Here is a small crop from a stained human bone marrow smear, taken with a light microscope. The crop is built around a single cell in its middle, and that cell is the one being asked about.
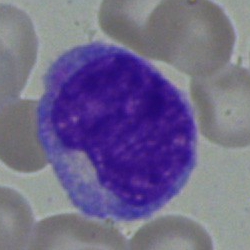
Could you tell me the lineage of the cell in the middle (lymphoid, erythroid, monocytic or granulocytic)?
monocytic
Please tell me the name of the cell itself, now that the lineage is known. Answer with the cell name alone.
monocyte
